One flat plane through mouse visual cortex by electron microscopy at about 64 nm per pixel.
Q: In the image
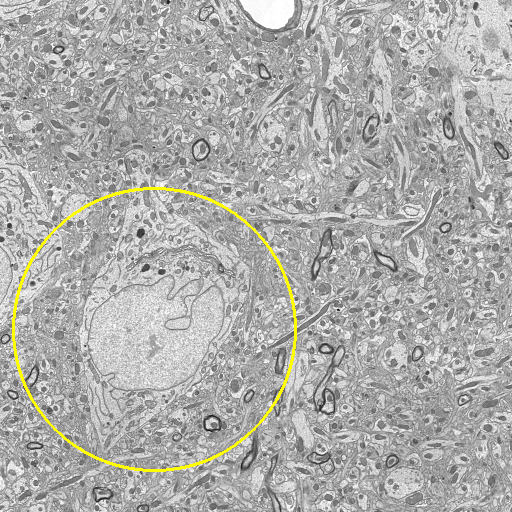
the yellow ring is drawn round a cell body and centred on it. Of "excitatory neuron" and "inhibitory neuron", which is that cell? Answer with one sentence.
The cell centred in the ring is an inhibitory neuron.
